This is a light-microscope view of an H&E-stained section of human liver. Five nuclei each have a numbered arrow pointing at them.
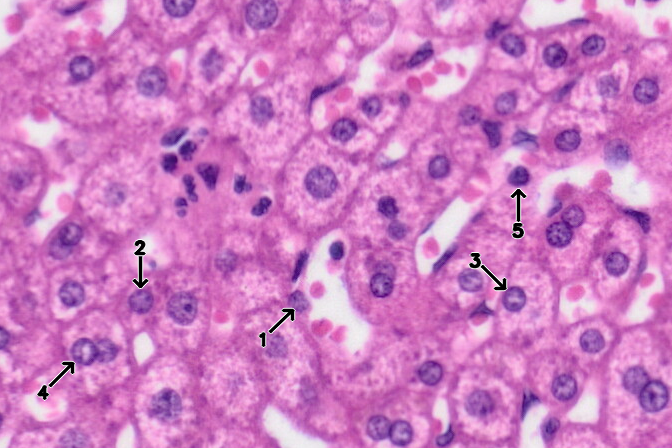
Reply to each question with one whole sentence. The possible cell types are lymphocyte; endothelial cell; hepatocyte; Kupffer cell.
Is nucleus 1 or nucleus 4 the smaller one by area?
It is nucleus 1; nucleus 4 has about 2 times its area.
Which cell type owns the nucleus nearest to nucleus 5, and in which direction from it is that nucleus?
The nearest nucleus is that of an endothelial cell and lies above nucleus 5.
